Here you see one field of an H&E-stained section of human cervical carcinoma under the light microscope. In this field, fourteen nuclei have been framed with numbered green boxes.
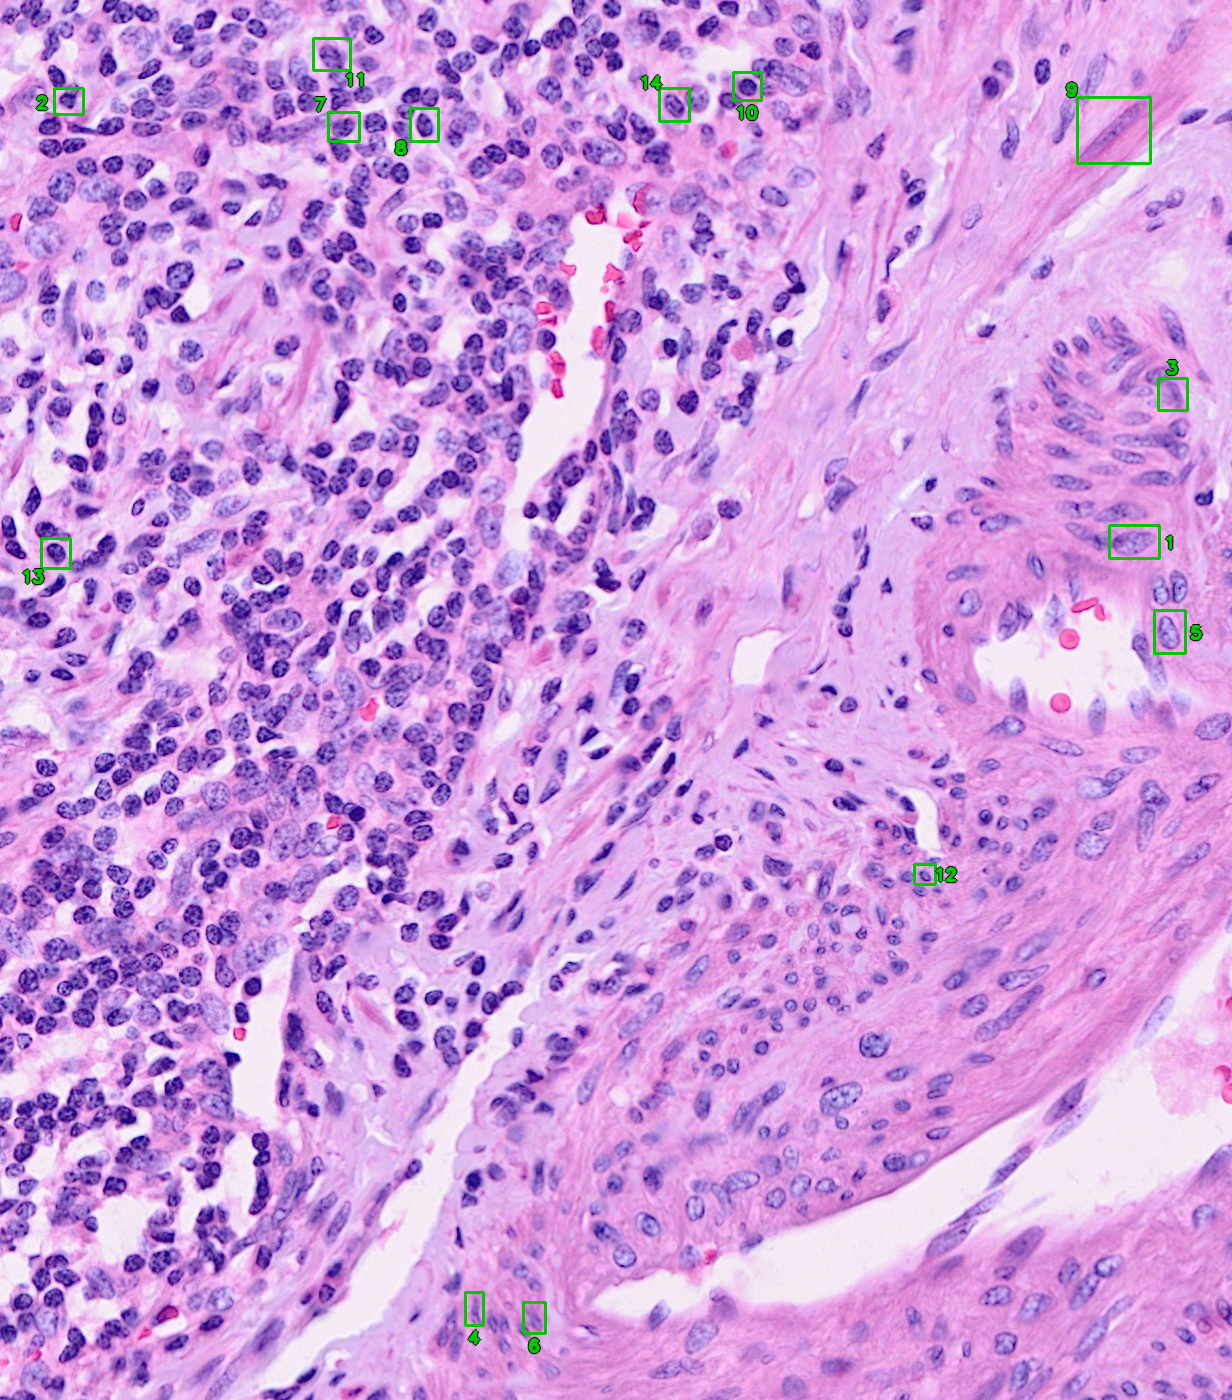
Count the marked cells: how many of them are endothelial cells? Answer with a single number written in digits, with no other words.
0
